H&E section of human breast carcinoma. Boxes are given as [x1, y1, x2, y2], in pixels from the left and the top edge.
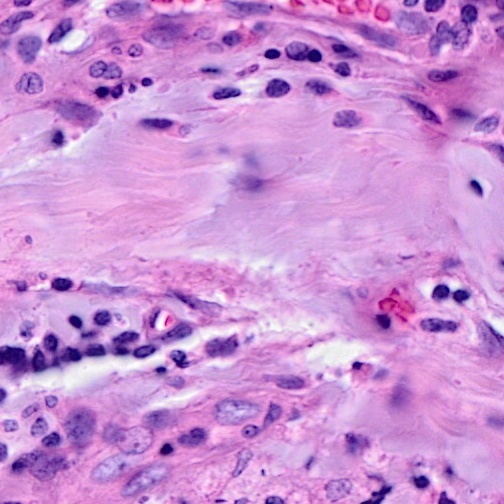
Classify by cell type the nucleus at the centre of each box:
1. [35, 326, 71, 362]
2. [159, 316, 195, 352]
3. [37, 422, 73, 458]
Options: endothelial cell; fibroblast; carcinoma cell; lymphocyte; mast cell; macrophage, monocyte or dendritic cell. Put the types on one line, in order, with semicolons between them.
lymphocyte; endothelial cell; lymphocyte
